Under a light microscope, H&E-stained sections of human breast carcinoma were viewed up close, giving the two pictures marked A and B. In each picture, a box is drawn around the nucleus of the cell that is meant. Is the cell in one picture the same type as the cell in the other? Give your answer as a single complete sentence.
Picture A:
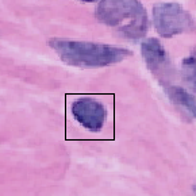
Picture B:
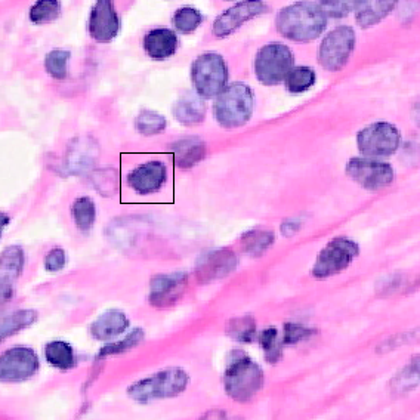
Yes, both cells are lymphocytes.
